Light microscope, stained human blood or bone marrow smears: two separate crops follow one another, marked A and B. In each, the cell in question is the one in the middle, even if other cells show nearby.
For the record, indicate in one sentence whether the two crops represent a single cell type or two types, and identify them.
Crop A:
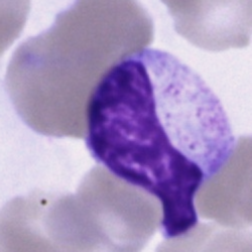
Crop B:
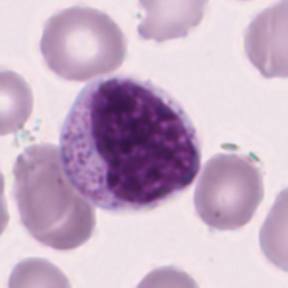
Yes, as shown in both crops, the central cells are metamyelocytes.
